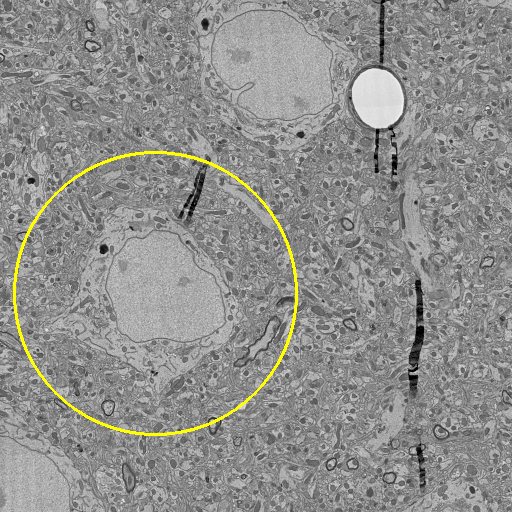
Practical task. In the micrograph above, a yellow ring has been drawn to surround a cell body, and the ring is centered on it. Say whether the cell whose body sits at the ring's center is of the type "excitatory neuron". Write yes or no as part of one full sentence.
Yes, the cell at the center of the ring above is of the type asked about.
